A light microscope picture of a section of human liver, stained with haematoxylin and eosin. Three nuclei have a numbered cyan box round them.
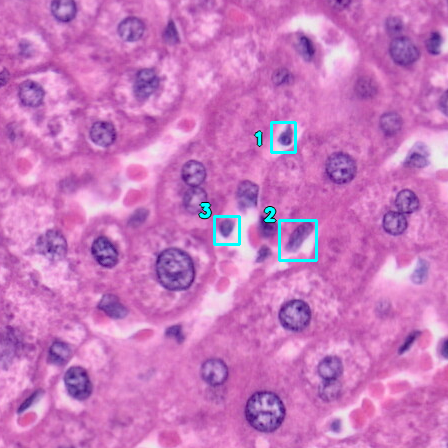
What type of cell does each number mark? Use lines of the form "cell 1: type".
cell 1: lymphocyte
cell 2: Kupffer cell
cell 3: lymphocyte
